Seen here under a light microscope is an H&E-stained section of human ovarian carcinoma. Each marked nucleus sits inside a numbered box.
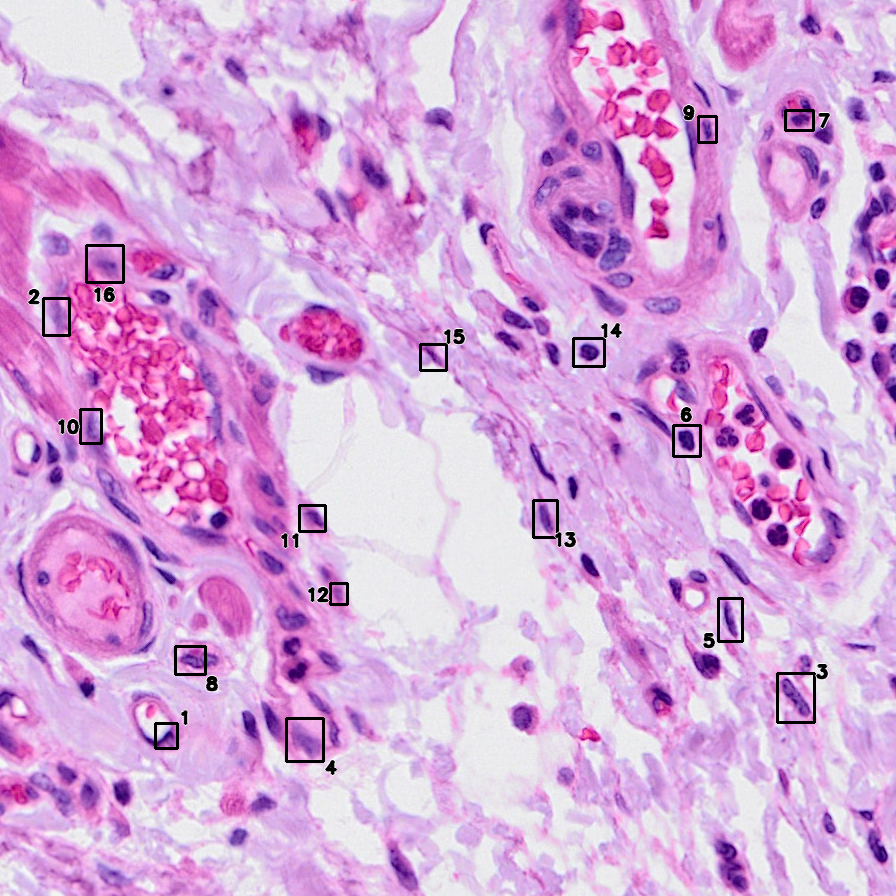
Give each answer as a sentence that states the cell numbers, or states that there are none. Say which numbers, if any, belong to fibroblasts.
In terms of cell type, cells 5, 13 and 15 are fibroblasts.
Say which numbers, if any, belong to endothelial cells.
In terms of cell type, cells 1, 2, 4, 7, 8, 10, 11, 12 and 16 are endothelial cells.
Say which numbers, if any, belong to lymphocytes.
The cells bearing the numbers 6 and 14 are lymphocytes.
